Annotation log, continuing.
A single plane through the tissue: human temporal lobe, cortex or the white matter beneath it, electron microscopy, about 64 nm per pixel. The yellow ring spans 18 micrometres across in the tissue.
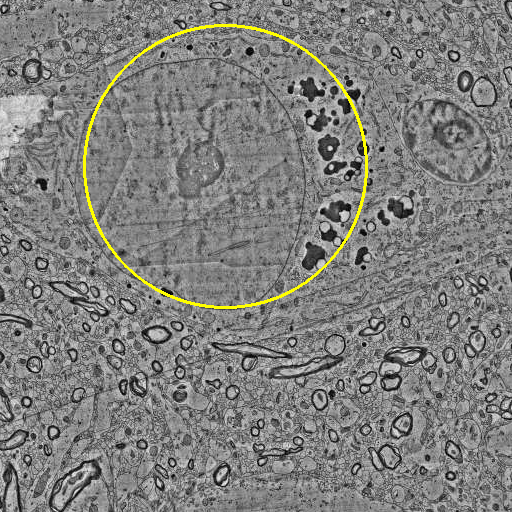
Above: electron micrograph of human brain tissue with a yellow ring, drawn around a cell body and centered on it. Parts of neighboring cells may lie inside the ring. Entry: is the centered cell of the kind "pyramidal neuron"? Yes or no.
Yes, the centered cell is of that kind.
